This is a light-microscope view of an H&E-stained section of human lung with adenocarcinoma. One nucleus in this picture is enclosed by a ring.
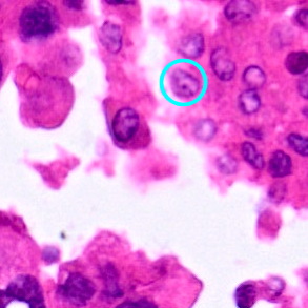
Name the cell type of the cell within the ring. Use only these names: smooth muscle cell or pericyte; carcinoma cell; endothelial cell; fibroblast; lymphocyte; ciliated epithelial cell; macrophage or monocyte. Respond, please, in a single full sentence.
As for its identity, the cell within the ring is a macrophage or monocyte.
